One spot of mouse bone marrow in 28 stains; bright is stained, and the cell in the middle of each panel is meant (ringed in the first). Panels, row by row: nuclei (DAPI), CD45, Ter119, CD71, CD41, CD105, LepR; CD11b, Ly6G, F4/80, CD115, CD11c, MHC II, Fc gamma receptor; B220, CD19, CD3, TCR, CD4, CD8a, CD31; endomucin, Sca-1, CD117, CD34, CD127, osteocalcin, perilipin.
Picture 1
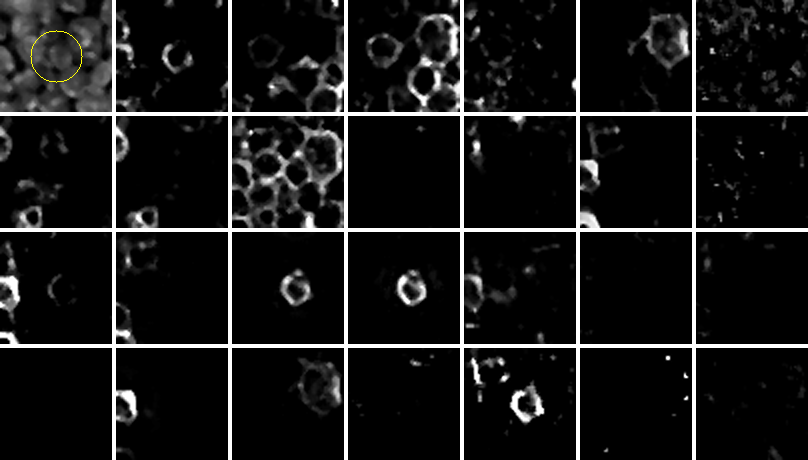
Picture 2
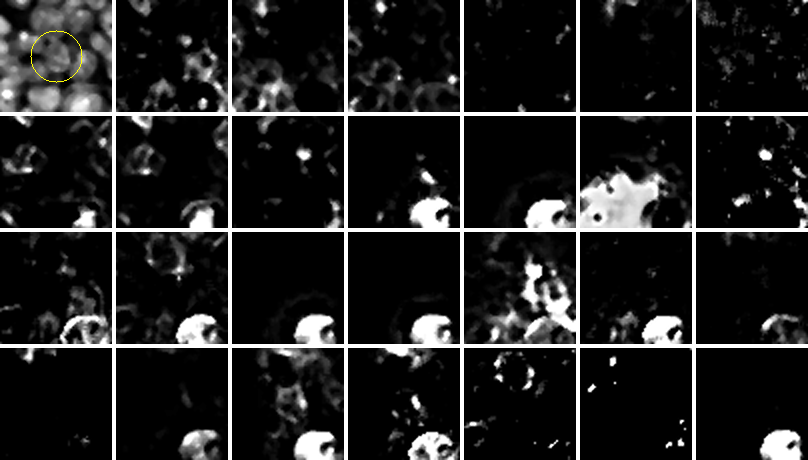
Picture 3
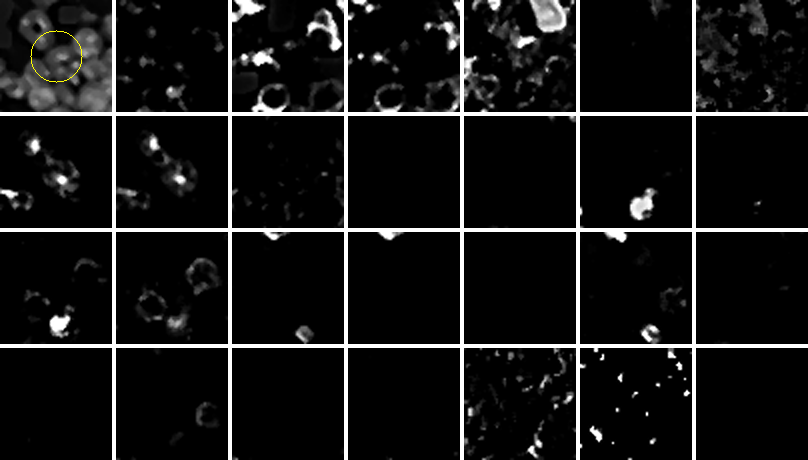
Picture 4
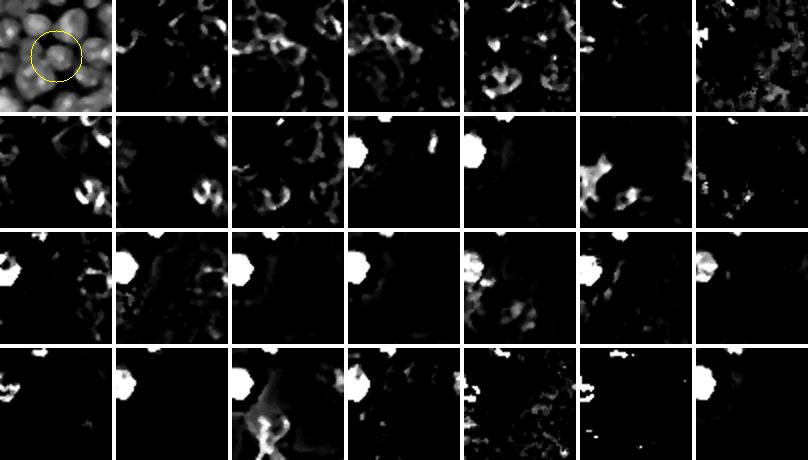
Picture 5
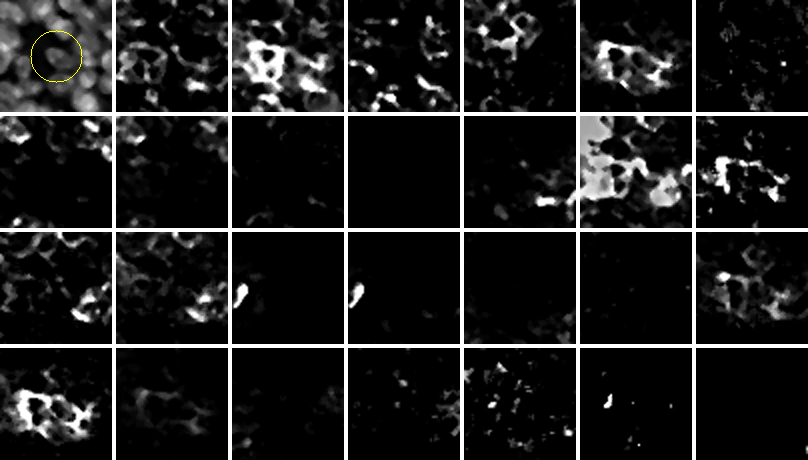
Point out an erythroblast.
That is picture 4.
